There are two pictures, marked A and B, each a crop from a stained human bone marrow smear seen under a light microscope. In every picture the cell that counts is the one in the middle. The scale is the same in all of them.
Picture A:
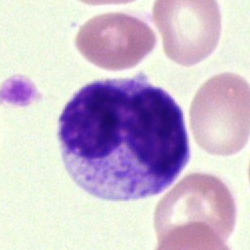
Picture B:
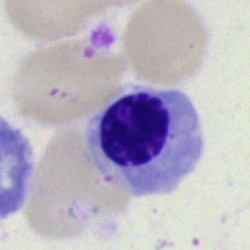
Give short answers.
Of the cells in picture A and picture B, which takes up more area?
A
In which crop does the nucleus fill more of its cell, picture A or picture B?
A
